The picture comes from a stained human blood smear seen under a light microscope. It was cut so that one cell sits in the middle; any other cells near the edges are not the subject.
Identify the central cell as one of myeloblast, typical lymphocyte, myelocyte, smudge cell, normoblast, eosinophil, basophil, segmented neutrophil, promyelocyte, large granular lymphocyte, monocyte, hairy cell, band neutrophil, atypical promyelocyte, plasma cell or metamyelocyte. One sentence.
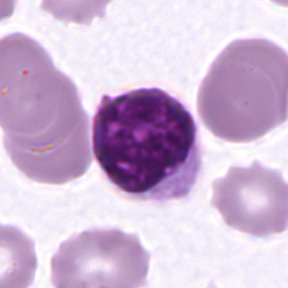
Centrally within this crop lies a plasma cell.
